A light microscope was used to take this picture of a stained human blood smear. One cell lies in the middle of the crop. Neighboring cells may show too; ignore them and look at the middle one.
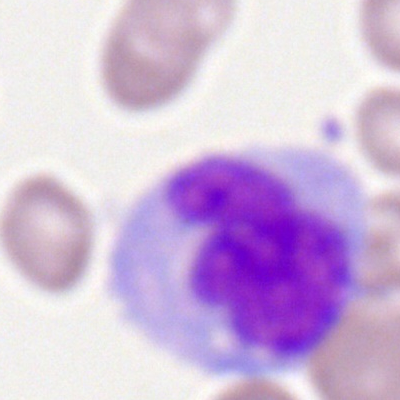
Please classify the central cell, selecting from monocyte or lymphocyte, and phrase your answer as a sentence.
The center cell of this crop is a monocyte.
